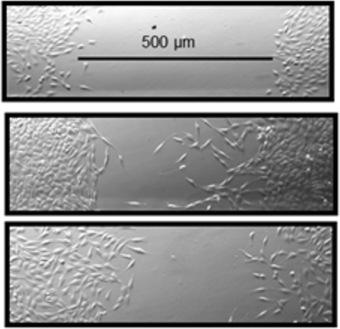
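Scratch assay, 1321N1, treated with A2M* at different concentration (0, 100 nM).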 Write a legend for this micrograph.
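Cultured tumour cells in three stacked strips, each showing a cell-free gap between two dense cell fronts at the left and right ends. At the fronts the cells lie closely packed. Single cells at the edges are elongated and spindle-shaped with thin tapering ends. In the top strip the gap is wide and nearly empty. In the middle strip many spindle-shaped cells lie scattered across the gap, some reaching toward its centre. In the bottom strip the gap holds few cells, and these stay mostly near the fronts.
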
